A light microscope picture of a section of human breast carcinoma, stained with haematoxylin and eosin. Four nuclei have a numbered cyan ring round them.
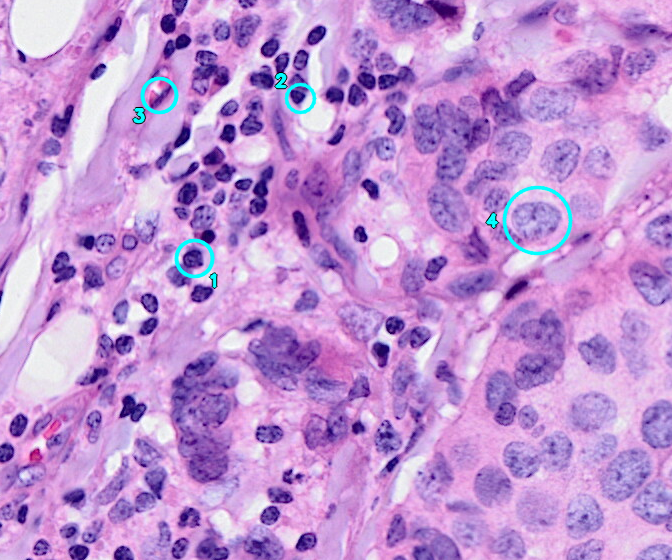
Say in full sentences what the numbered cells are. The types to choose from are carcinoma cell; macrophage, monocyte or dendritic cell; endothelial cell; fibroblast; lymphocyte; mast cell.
Cells 1 and 2 are lymphocytes. Cell 3 is an endothelial cell. Cell 4 is a carcinoma cell.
